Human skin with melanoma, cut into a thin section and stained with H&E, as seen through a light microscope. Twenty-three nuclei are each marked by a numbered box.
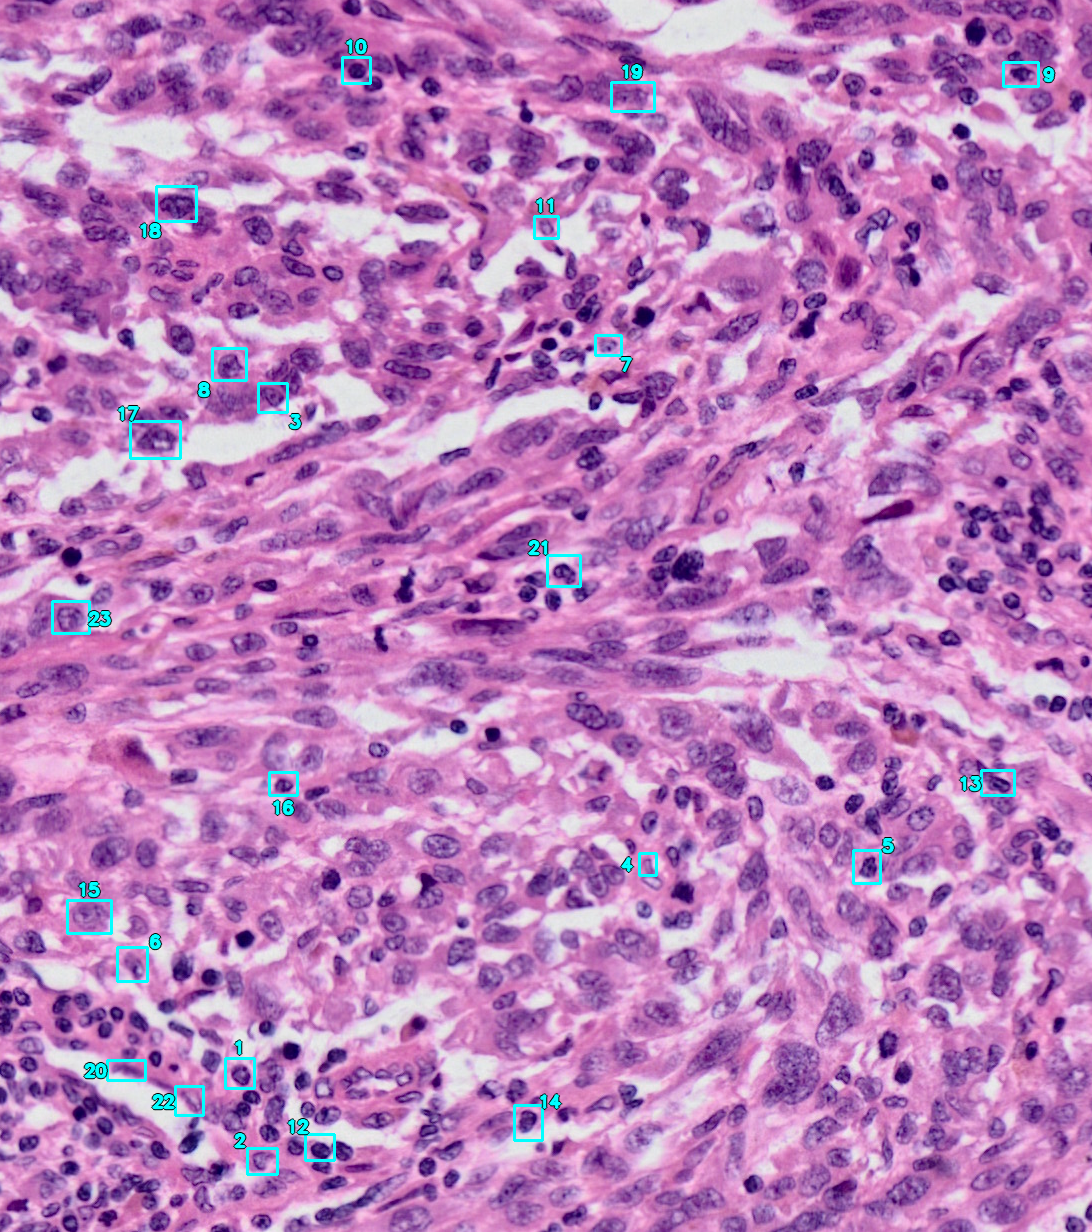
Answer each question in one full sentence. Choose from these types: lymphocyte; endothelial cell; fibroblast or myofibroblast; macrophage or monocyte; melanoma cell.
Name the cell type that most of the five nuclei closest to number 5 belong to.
Melanoma cells account for more than half of the five nuclei nearest to number 5.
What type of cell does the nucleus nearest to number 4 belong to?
The nearest nucleus to number 4 belongs to an endothelial cell.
